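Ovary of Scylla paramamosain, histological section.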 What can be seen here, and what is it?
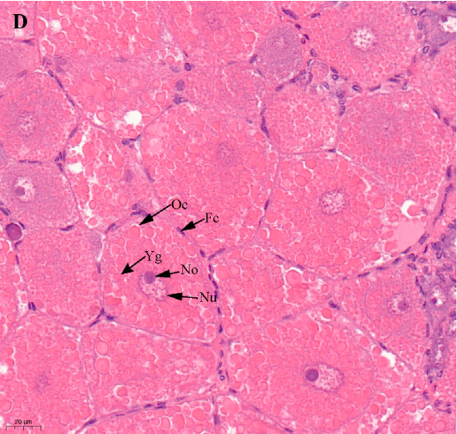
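The oocytes are large and polygonal where they press against one another, with pink cytoplasm crowded with small rounded yolk granules. Several show a pale round nucleus holding a dark, compact nucleolus, and in some the nucleus carries small dark bodies along its edge. Between neighbouring oocytes lie thin follicular cells with elongated, dark purple nuclei that trace the cell borders. Toward one edge, a looser purple-staining interstitial tissue with many small nuclei fills the space between the oocytes.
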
